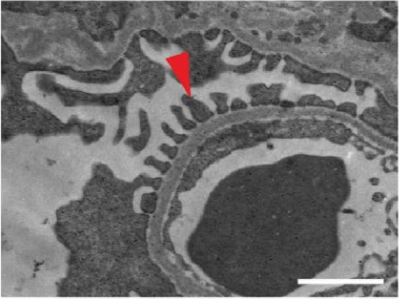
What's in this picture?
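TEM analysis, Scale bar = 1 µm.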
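Electron micrograph of podocyte foot processes on a glomerular capillary wall. A thin, dense basement membrane curves around a capillary lumen at lower right, which holds a large, rounded, very dense cell. Along the outer side of the membrane, numerous small, regularly spaced foot processes stand side by side with narrow gaps between them. Above them, branching grey cytoplasmic processes of podocytes extend through pale spaces, forming an irregular meshwork of elongated and curved profiles across the upper half of the field.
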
